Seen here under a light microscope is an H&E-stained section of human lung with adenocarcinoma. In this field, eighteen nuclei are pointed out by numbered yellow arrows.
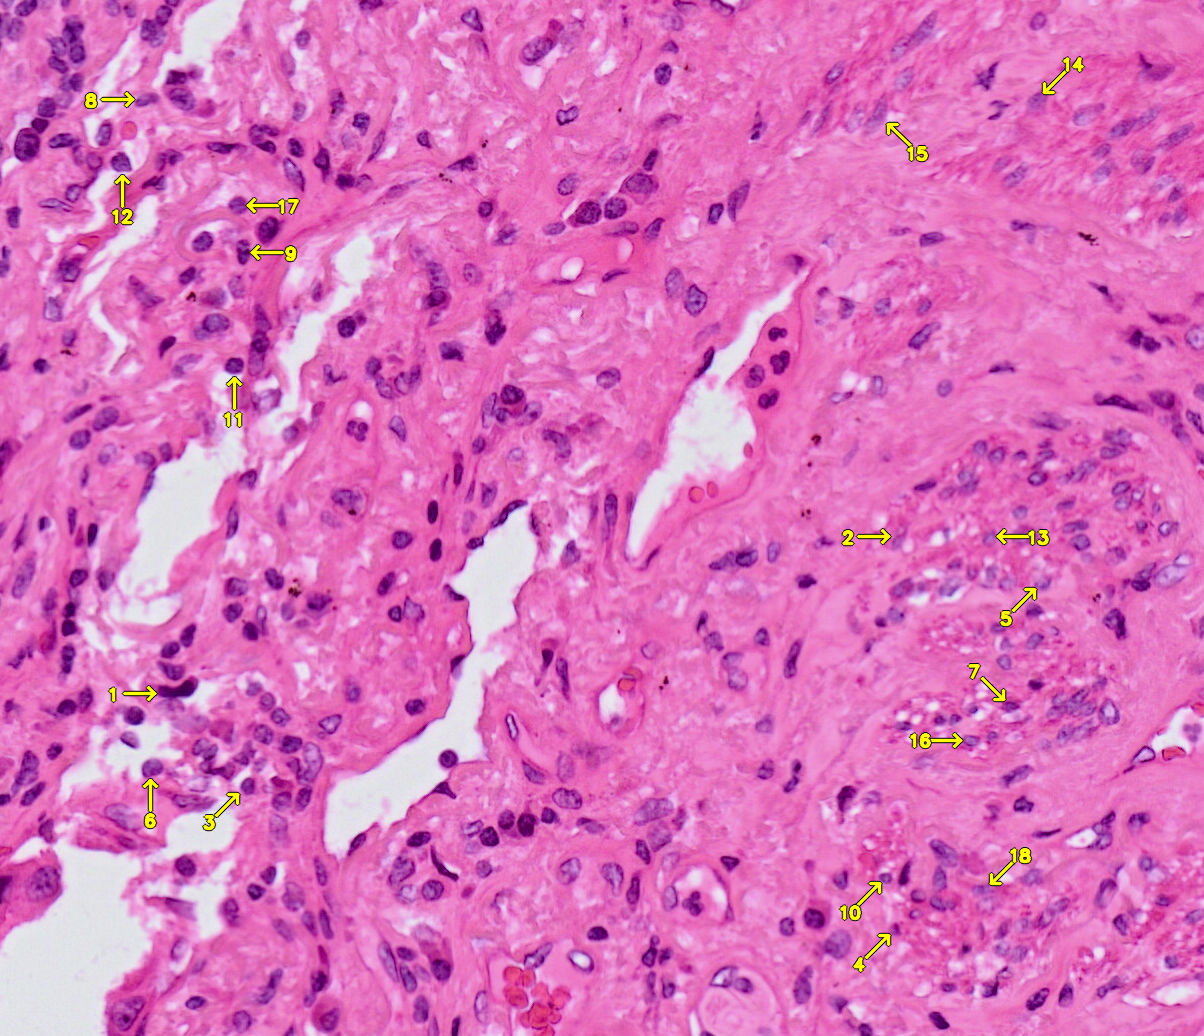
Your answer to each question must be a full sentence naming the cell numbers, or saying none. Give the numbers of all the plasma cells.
Cell 1 alone, of all the numbered cells, is a plasma cell.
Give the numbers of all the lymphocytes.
The cells with numbers 3, 6, 8, 9, 11, 12 and 17 are lymphocytes by type.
